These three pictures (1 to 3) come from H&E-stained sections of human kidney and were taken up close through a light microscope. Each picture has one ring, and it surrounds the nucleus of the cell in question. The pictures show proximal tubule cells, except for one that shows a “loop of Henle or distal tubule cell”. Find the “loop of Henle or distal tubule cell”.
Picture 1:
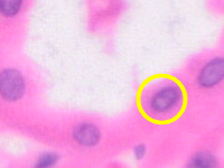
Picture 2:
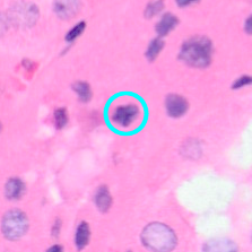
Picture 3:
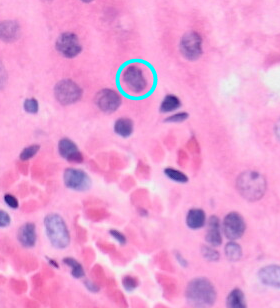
2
